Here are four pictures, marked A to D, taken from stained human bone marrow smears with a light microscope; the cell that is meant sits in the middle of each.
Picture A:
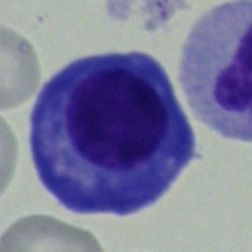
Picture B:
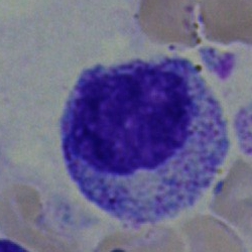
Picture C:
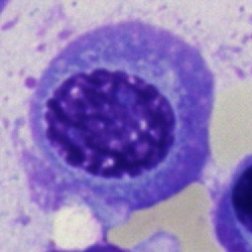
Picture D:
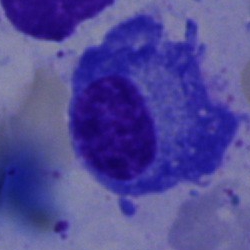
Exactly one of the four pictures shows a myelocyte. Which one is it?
B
